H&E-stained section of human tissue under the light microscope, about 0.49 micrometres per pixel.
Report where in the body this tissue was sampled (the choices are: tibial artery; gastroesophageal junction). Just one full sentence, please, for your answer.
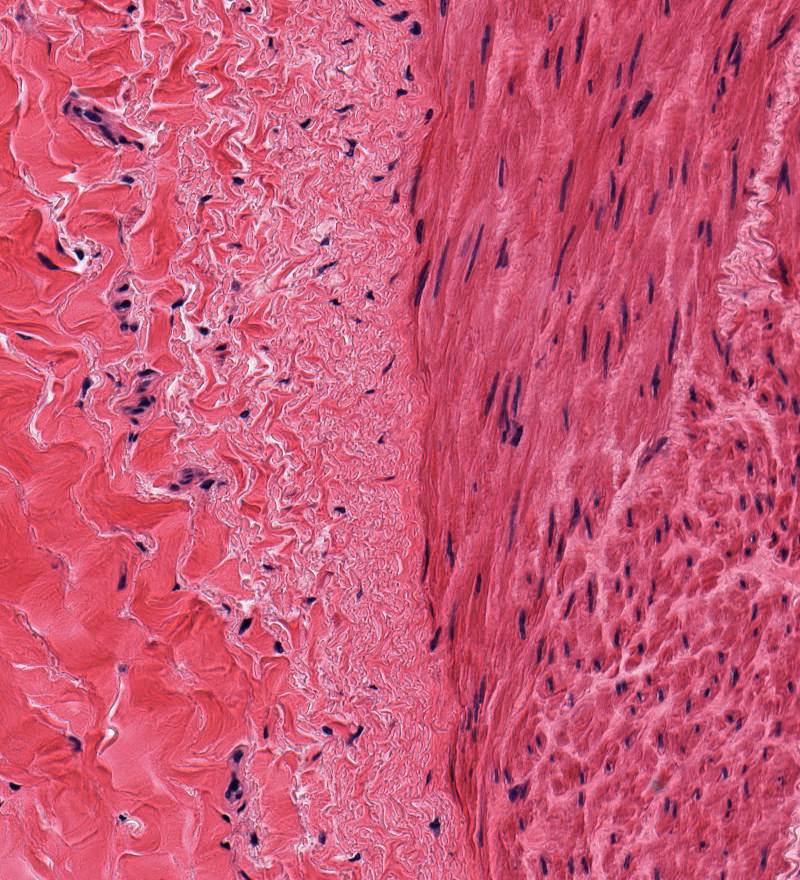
The specimen was sampled from the tibial artery.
